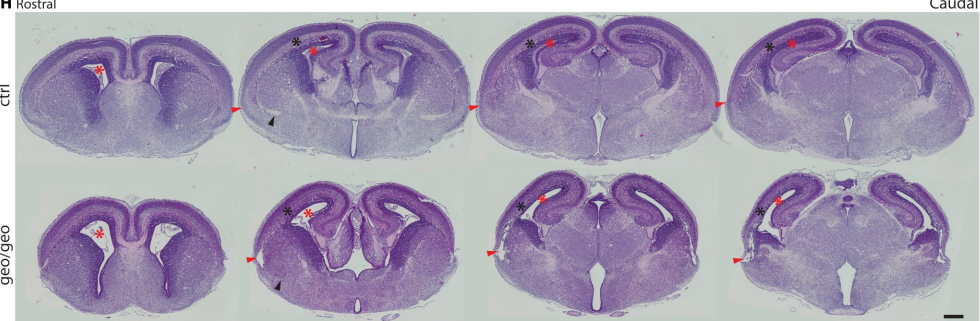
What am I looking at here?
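Coronal sections of the forebrain show the neocortex as a thick, densely purple layered wall over each hemisphere, curving around the pale, open lateral ventricles. Below and to the sides lies paler, more loosely stained deep tissue, with the piriform cortex at the ventrolateral surface and a pale fibre band, the external capsule, deep to the cortex.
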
